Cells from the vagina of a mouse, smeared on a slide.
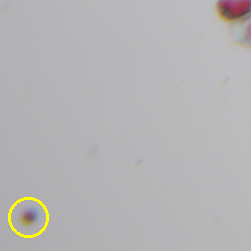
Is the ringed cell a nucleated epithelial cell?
No, it is a leukocyte.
